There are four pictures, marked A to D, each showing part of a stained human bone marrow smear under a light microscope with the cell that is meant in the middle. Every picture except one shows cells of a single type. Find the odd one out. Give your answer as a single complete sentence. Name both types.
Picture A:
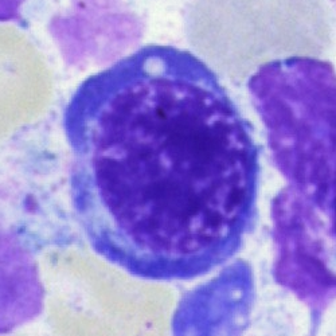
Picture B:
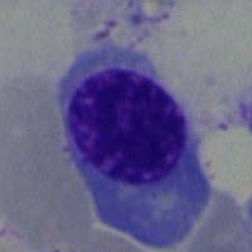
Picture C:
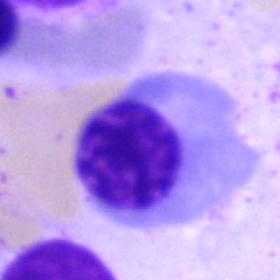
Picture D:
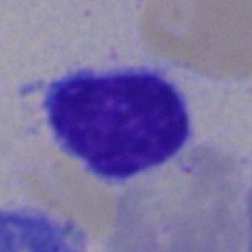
All pictures except D show erythroblasts; picture D shows a lymphocyte.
